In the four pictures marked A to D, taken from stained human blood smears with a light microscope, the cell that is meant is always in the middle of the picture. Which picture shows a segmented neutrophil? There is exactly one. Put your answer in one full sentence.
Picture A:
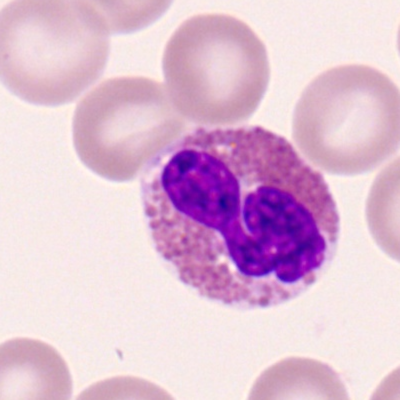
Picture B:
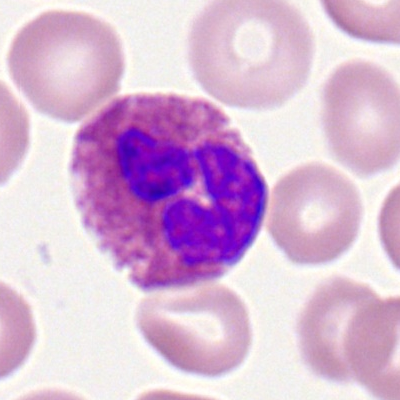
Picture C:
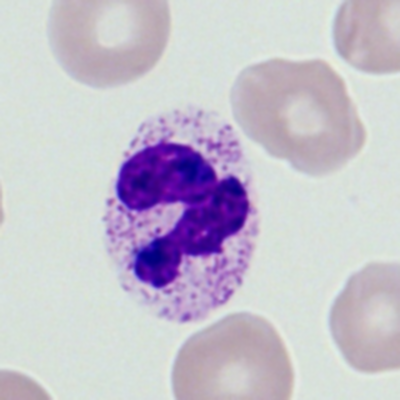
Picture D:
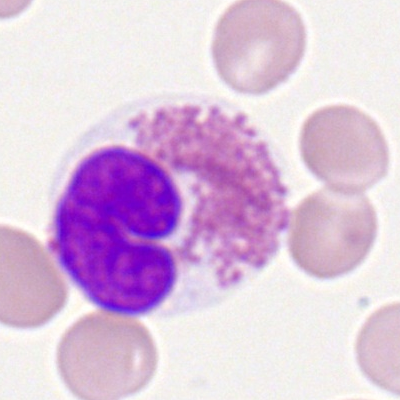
It is picture C that shows the segmented neutrophil.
